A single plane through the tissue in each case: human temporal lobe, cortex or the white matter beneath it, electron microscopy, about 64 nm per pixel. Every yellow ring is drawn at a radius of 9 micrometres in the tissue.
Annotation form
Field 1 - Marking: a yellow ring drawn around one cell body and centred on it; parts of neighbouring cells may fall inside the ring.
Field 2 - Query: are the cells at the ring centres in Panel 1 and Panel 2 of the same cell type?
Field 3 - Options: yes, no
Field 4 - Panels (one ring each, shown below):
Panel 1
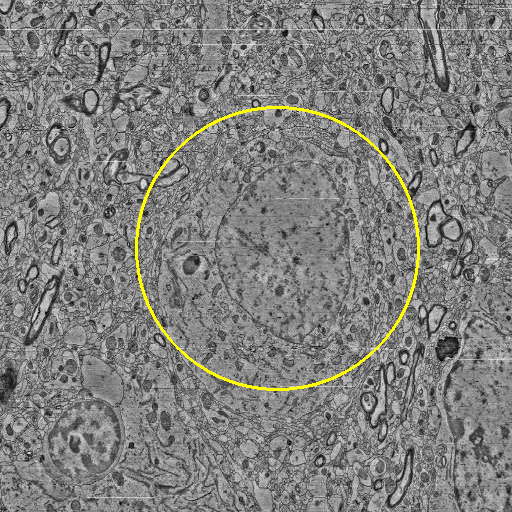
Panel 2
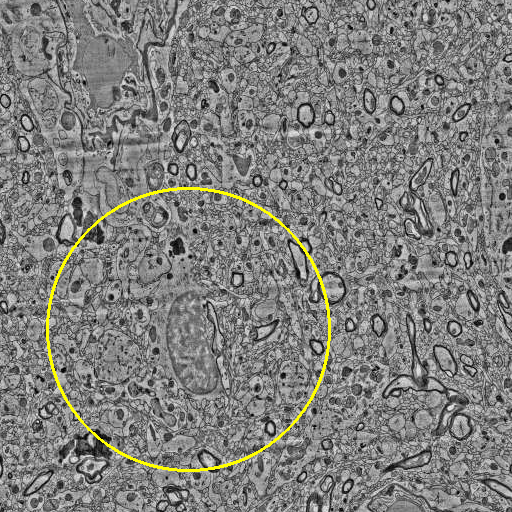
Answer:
no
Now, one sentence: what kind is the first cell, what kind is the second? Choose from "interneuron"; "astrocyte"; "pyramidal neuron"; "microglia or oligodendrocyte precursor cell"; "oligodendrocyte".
The first picture has an interneuron at its ring centre, and the second has an oligodendrocyte.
